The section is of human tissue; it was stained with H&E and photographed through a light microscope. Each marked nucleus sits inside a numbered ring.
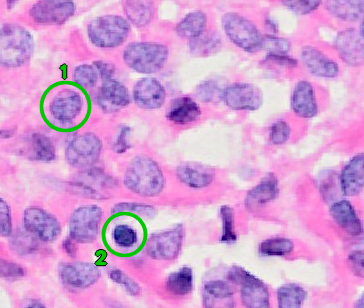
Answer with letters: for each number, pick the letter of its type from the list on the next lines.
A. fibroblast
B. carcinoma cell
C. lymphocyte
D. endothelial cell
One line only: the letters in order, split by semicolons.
B; C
